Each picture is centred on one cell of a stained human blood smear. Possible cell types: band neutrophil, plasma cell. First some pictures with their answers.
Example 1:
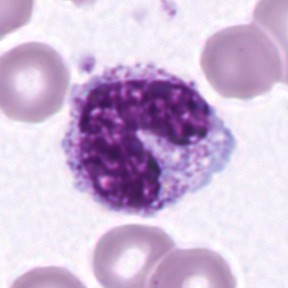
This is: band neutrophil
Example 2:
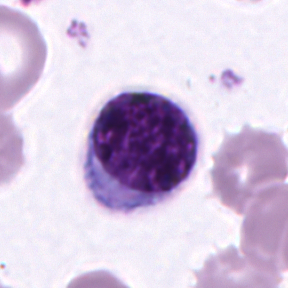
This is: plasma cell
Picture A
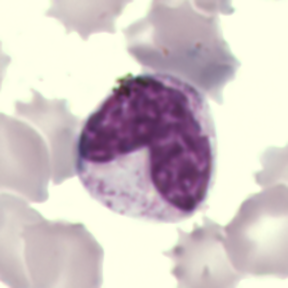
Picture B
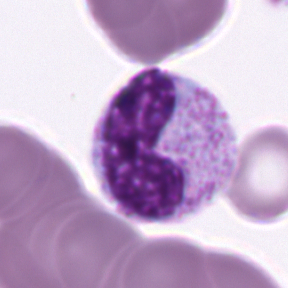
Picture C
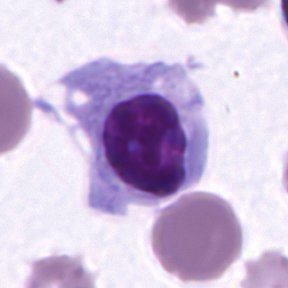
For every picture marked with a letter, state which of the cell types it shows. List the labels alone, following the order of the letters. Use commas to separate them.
band neutrophil, band neutrophil, plasma cell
